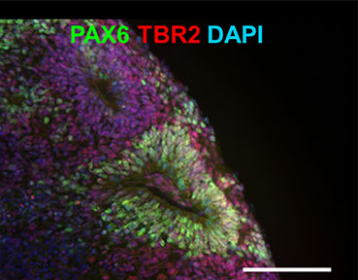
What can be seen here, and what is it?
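Densely packed, elongated nuclei are arranged radially around slit-like central lumens, one large rosette in the lower middle and a smaller one above. The cells lining the large lumen are strongly green, while the surrounding tissue is dominated by red and blue with scattered cells.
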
